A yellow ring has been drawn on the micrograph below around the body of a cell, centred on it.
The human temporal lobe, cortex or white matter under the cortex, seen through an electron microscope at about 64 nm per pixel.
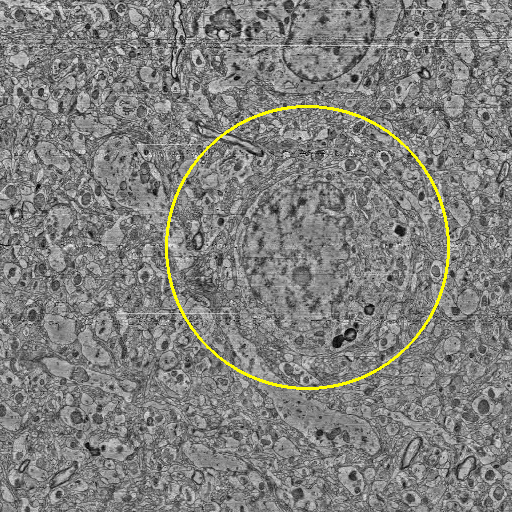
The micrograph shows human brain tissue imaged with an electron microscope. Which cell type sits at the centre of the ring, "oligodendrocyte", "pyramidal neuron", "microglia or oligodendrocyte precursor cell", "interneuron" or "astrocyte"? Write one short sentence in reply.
The cell sitting at the centre of the ring is an interneuron.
